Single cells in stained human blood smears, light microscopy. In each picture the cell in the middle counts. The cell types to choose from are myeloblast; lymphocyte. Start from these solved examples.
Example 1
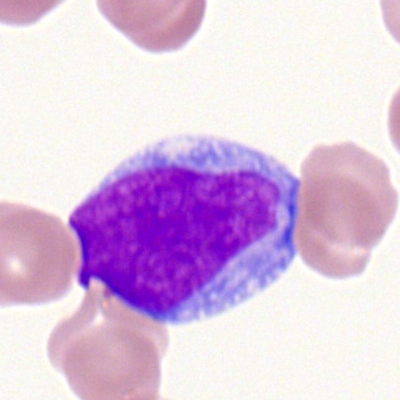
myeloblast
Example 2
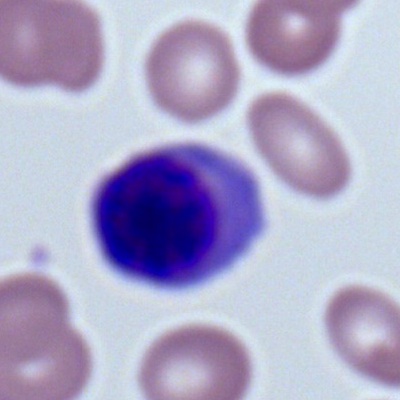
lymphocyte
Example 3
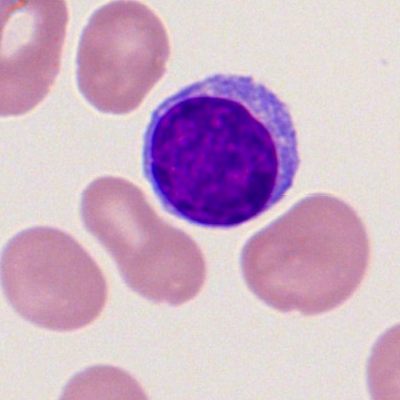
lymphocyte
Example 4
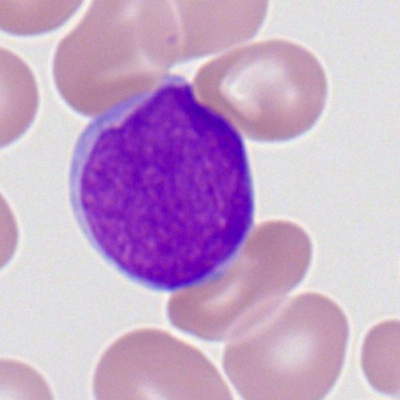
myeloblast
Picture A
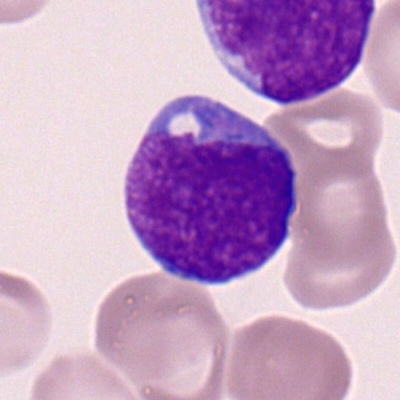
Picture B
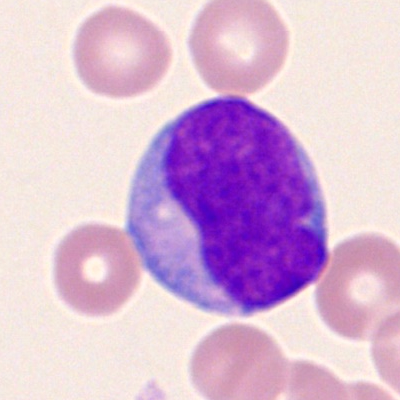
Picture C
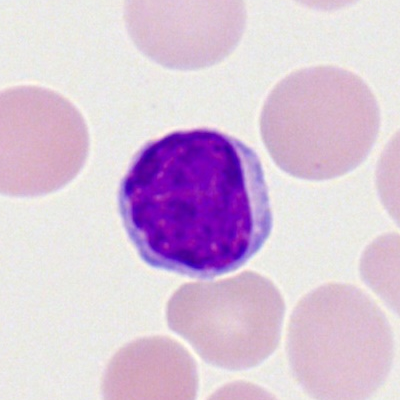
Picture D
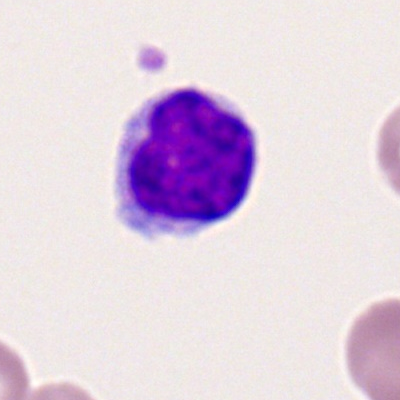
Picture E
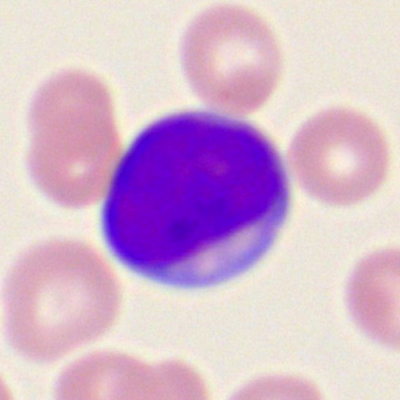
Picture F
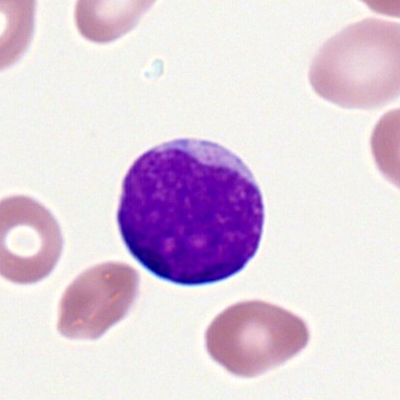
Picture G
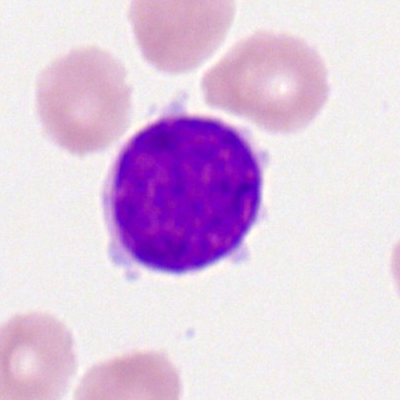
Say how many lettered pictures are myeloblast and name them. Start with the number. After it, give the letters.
4, namely A, B, E, F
